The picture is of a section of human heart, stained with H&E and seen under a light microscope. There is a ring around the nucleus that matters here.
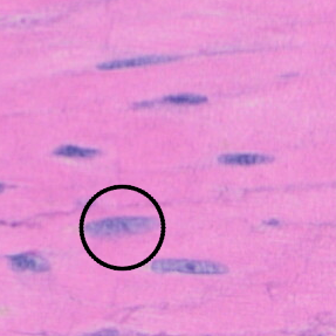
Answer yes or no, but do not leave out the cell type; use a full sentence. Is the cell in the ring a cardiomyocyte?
Yes, the identification of the cell in the ring as a cardiomyocyte stands.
